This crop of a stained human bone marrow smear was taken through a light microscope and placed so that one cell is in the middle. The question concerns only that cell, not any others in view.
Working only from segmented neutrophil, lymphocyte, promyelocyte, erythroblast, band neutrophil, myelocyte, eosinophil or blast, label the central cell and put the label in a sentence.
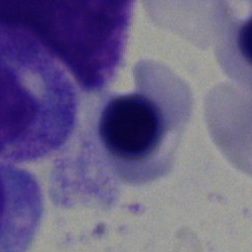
In the center of this field lies an erythroblast.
